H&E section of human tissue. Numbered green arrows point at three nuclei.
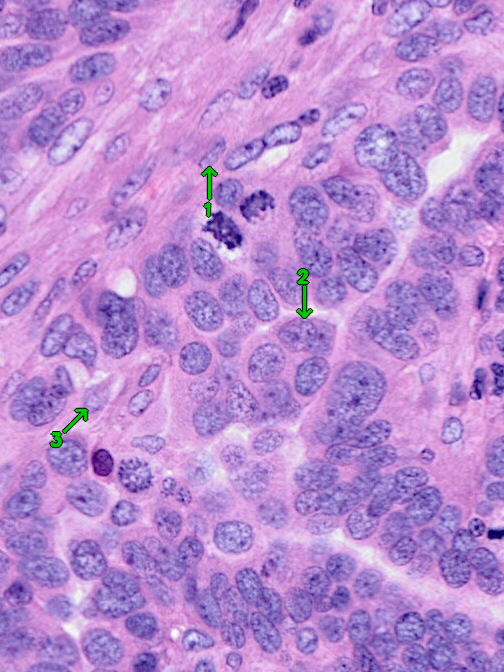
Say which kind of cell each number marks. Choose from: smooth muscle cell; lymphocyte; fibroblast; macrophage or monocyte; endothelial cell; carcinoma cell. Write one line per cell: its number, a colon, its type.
1: fibroblast
2: carcinoma cell
3: fibroblast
